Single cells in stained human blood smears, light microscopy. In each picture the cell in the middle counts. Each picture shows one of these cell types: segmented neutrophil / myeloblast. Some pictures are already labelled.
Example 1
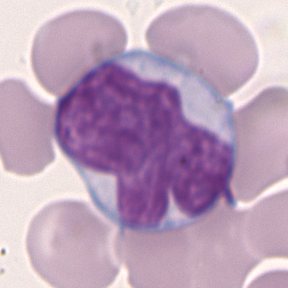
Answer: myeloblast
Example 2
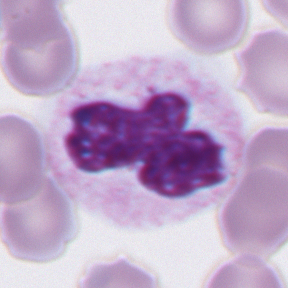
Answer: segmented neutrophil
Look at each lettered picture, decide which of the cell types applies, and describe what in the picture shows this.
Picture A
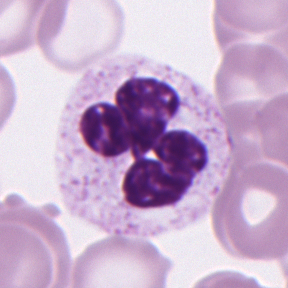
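segmented neutrophil. The cytoplasm is plentiful and very pale pinkish-lilac.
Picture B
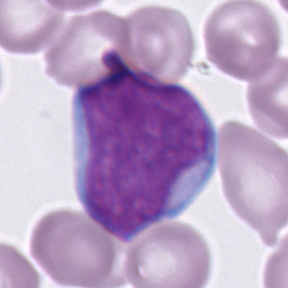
myeloblast. The cytoplasm forms only a narrow rim of pale blue around the nucleus.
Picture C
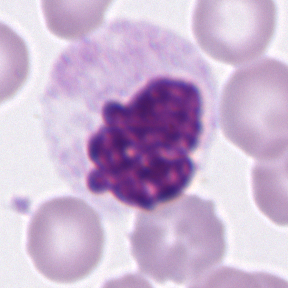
segmented neutrophil. The cytoplasm is abundant and pale lilac.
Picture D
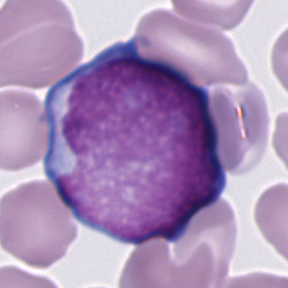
myeloblast. The rim of cytoplasm is stained deep blue, darkest along the cell edge.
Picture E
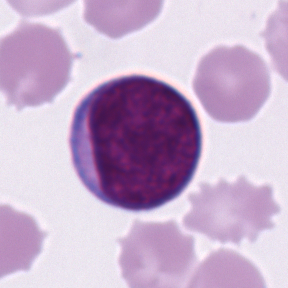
myeloblast. The cytoplasm forms a narrow crescent on the left side of the cell.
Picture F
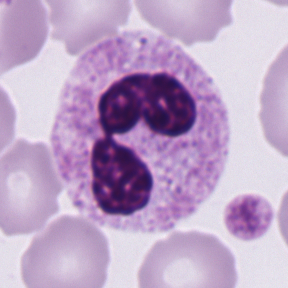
segmented neutrophil. The cytoplasm is abundant and pale pinkish-lilac.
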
